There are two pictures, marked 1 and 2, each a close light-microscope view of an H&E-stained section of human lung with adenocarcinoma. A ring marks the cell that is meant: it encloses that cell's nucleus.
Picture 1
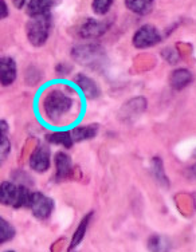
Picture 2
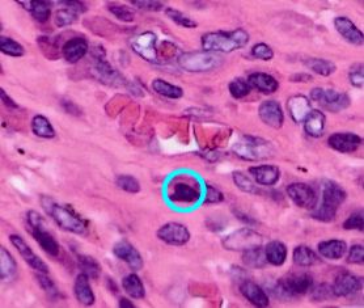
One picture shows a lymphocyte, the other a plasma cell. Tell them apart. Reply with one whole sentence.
In picture 1 the cell is a lymphocyte; in picture 2, a plasma cell.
